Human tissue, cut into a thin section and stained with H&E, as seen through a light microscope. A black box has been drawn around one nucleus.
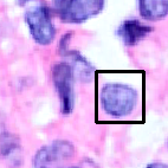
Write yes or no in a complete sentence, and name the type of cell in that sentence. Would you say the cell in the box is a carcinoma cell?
Yes, the classification of the cell in the box as a carcinoma cell is accurate.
